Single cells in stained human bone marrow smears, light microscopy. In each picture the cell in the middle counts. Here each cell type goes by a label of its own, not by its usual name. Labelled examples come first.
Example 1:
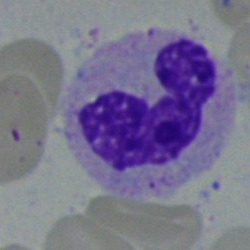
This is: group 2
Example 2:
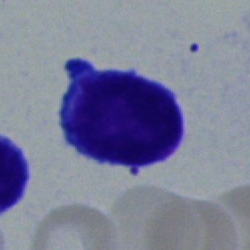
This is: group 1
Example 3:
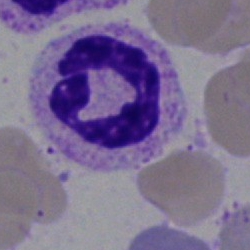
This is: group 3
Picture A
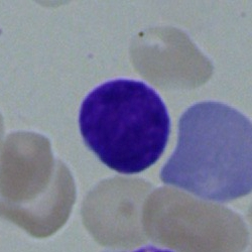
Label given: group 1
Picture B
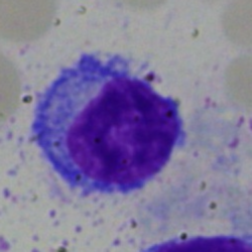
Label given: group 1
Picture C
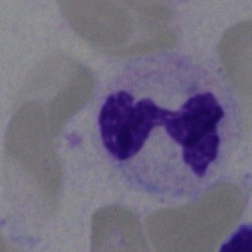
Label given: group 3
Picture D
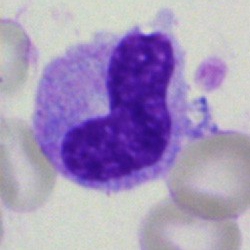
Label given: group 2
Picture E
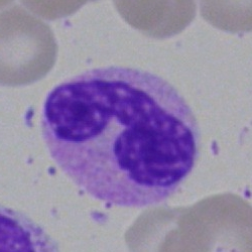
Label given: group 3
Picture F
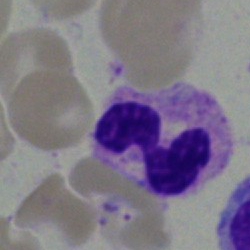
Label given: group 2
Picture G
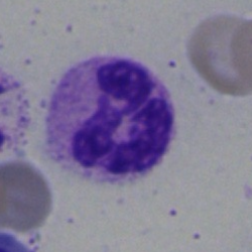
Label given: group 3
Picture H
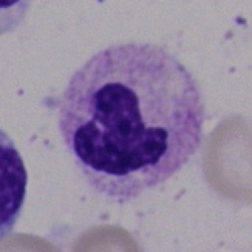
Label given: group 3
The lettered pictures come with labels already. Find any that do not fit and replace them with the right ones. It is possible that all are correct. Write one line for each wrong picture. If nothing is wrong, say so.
Every label is right.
